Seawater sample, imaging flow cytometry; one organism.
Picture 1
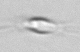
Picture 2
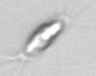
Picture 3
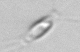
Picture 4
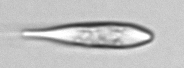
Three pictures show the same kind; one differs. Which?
Picture 4: Licmophora, while the others are Chrysochromulina parkeae.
